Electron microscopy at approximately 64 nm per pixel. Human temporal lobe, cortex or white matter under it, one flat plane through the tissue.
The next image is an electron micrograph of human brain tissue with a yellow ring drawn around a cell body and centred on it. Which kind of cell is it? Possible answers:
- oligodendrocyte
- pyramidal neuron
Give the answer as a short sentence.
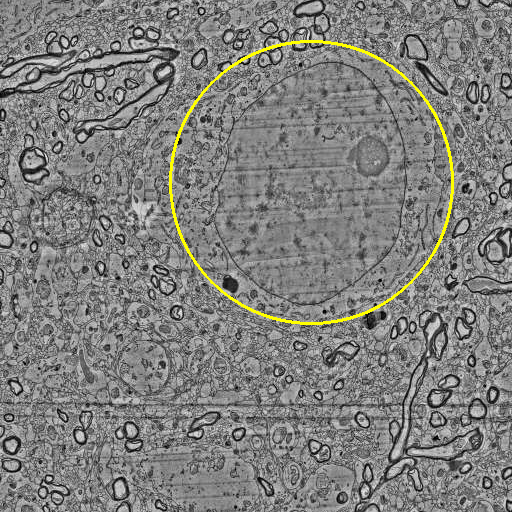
In the ring's centre is a pyramidal neuron.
